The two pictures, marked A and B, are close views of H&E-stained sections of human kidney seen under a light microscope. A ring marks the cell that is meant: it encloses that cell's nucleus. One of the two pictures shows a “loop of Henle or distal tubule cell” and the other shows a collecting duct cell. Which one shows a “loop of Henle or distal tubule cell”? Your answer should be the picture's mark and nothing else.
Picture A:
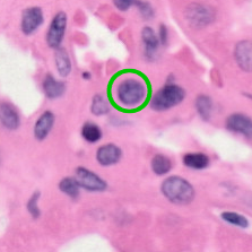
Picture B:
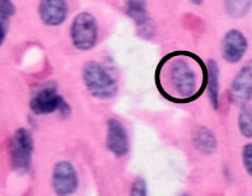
B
